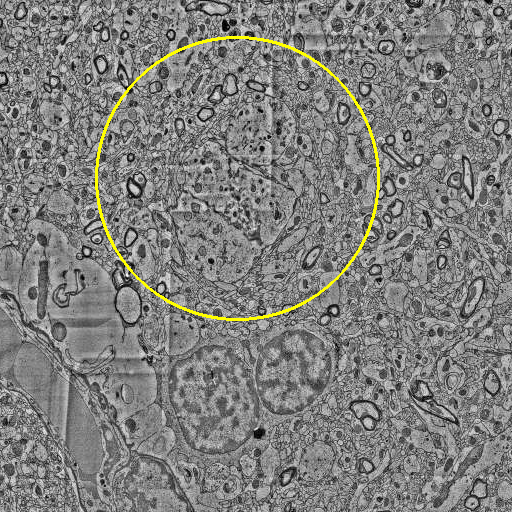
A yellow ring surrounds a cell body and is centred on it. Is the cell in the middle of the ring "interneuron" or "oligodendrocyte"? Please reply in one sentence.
The ring is centred on an interneuron.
